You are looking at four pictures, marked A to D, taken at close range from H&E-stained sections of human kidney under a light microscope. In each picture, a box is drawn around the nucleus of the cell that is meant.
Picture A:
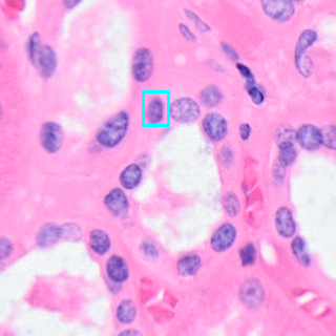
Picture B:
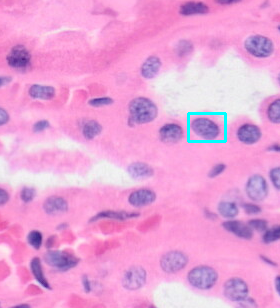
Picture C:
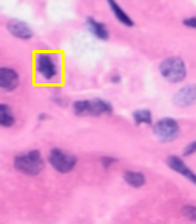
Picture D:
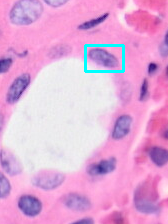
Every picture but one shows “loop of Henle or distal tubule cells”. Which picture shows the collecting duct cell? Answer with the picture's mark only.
A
